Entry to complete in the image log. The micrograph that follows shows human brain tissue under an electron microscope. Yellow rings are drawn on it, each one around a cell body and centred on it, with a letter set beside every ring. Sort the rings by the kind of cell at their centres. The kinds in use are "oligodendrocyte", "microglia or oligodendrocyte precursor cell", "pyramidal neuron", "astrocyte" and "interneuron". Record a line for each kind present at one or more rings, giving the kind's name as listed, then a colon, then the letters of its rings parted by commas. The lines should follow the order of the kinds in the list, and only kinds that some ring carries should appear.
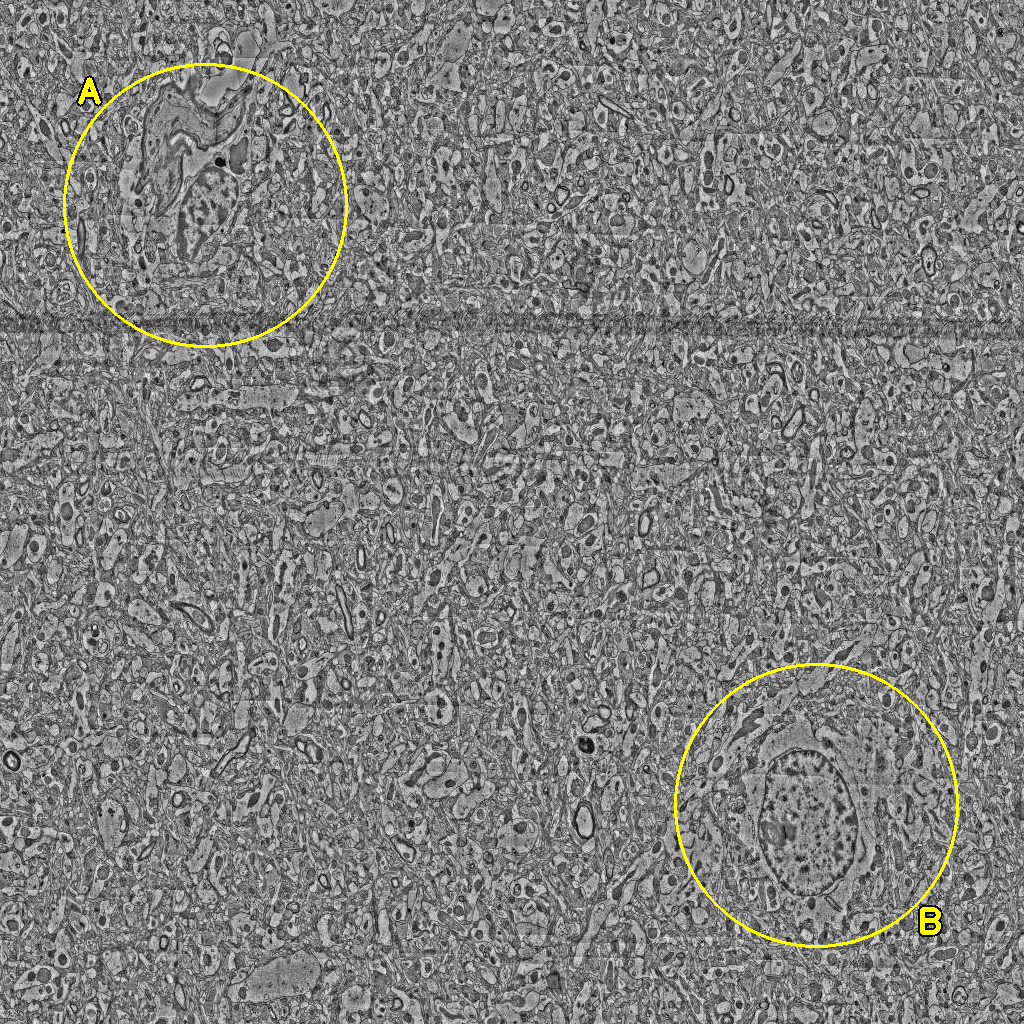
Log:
microglia or oligodendrocyte precursor cell: A
astrocyte: B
